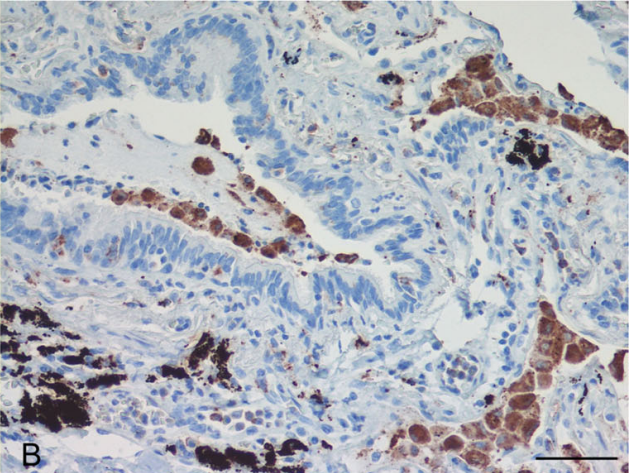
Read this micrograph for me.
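The macrophages are large, rounded cells with plenty of brown-stained cytoplasm, and they sit in clusters filling parts of the air spaces. The airway is lined by a row of columnar epithelial cells with blue, elongated nuclei. Scattered through the tissue are coarse black deposits of pigment, some close to the brown cells. The surrounding walls hold many small blue nuclei of other cells.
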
